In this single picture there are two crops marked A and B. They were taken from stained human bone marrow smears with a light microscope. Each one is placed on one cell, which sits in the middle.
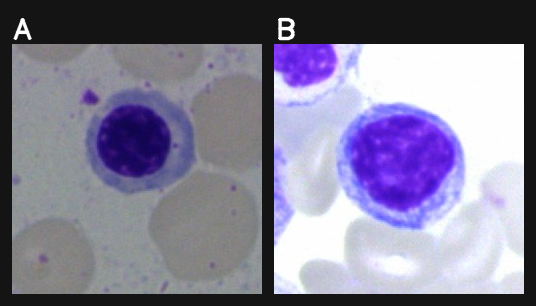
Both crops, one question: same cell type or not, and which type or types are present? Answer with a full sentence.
No, it is crop A that shows an erythroblast, and crop B shows a lymphocyte.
